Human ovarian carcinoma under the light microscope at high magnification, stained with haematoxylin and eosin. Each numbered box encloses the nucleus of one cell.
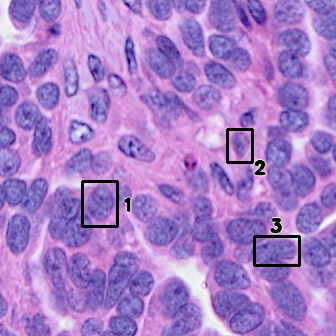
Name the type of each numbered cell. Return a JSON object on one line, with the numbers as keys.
{"1": "carcinoma cell", "2": "fibroblast", "3": "carcinoma cell"}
